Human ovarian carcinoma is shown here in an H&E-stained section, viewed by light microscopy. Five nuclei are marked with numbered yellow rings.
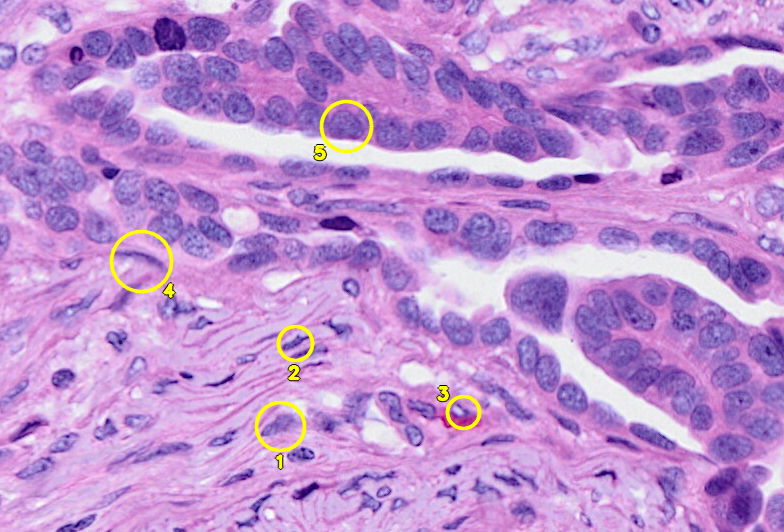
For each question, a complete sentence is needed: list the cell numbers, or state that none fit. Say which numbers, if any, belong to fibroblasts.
The cells shown with numbers 1, 2 and 4 are fibroblasts.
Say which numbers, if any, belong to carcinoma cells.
Just one numbered cell is a carcinoma cell, and that cell is number 5.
